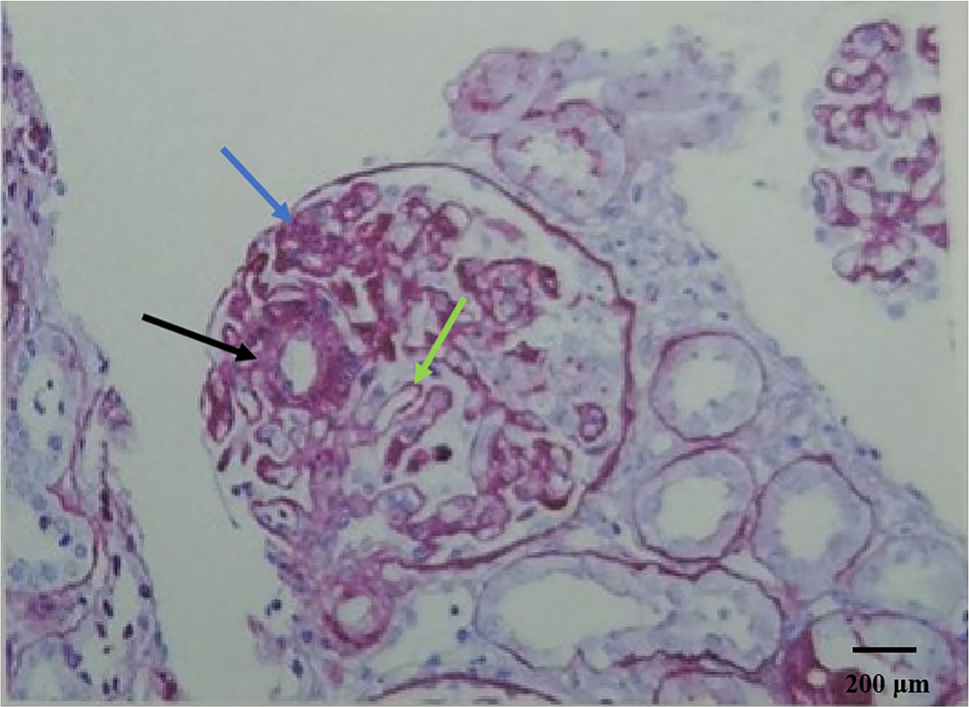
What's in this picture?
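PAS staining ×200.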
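Kidney glomerulus within a thin magenta Bowman's capsule, surrounded by tubules whose basement membranes are outlined in magenta. The capillary loops of the tuft have thick, magenta-stained walls, some of them doubled, and one loop is widely dilated into a round open lumen. Parts of the tuft look crowded, with loops that appear filled rather than open.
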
